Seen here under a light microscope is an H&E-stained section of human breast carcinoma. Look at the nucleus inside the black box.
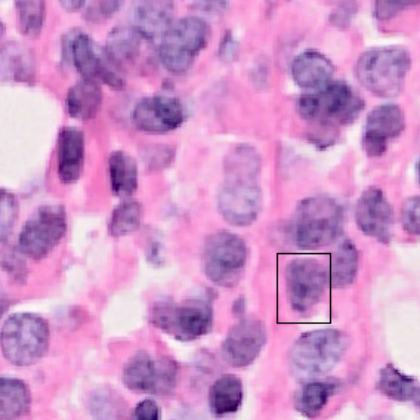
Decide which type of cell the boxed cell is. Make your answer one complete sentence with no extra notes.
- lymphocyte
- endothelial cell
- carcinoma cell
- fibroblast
It is as a carcinoma cell that the boxed cell is classified.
